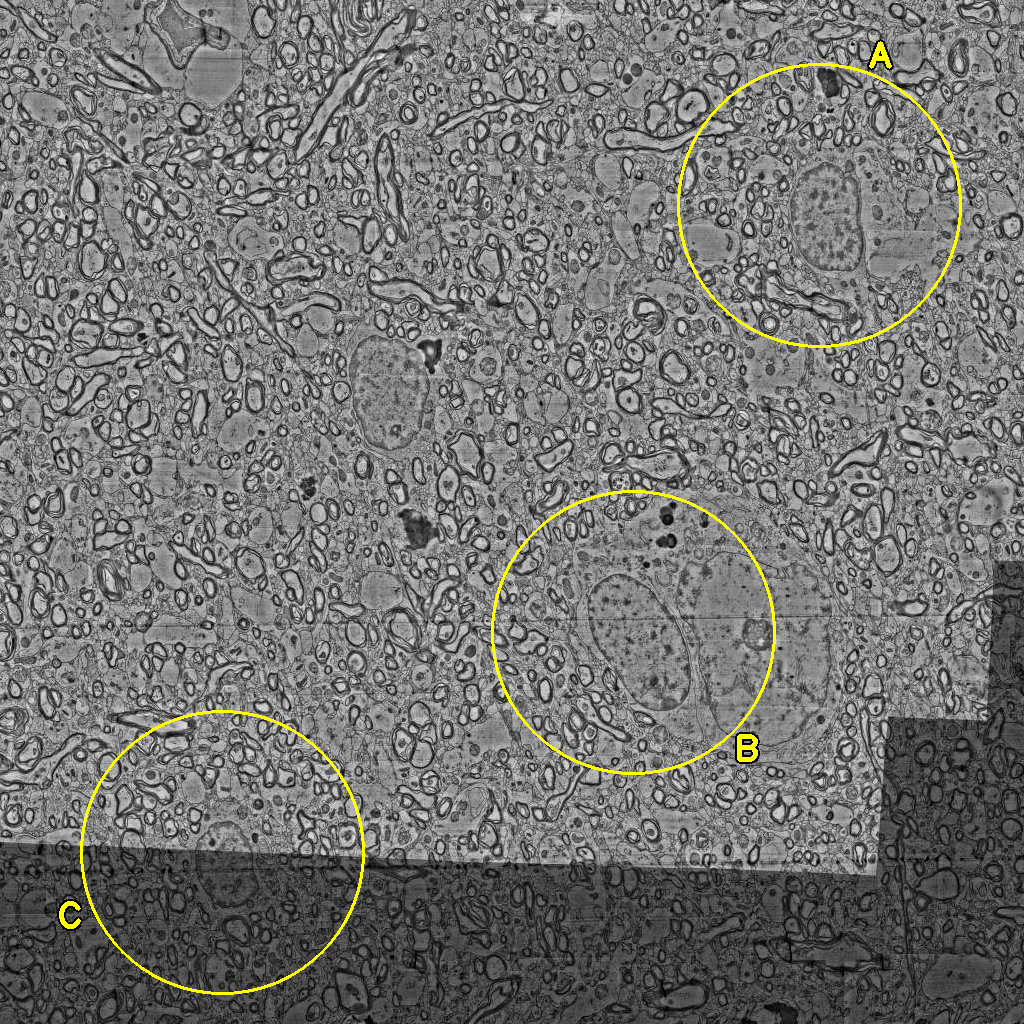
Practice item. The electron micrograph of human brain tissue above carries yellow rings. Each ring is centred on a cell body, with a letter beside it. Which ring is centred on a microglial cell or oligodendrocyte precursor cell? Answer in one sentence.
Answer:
Ring B is centred on it.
